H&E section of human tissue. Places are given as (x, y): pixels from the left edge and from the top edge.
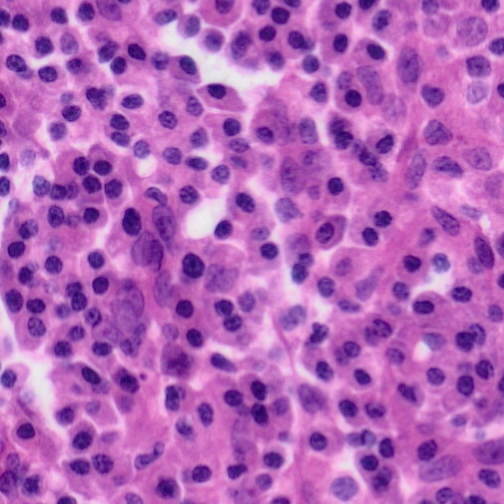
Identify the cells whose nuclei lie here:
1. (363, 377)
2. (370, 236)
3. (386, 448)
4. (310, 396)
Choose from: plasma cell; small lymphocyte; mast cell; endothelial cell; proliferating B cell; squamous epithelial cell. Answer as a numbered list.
1. plasma cell
2. plasma cell
3. plasma cell
4. squamous epithelial cell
